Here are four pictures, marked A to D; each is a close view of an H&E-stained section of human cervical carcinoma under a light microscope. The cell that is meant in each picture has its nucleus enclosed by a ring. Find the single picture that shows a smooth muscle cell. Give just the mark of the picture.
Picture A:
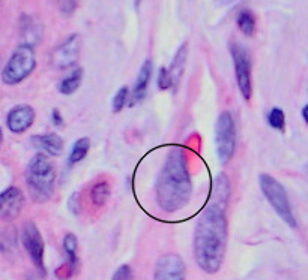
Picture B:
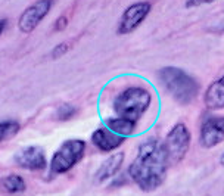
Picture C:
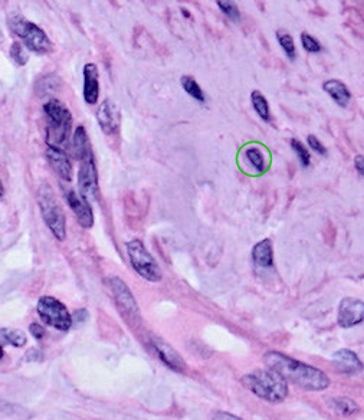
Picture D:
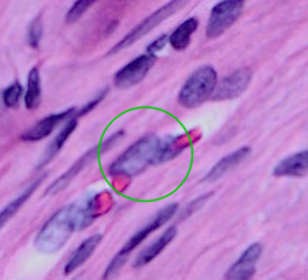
C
